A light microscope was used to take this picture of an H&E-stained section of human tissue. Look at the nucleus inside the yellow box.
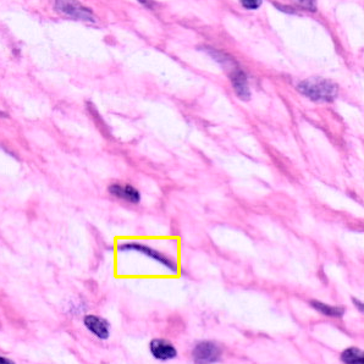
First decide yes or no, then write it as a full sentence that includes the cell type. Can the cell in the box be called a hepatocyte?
No, the cell in the box is not a hepatocyte but a fibroblast or myofibroblast.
